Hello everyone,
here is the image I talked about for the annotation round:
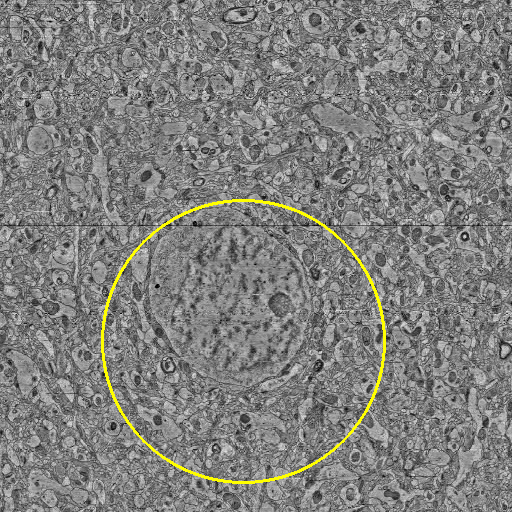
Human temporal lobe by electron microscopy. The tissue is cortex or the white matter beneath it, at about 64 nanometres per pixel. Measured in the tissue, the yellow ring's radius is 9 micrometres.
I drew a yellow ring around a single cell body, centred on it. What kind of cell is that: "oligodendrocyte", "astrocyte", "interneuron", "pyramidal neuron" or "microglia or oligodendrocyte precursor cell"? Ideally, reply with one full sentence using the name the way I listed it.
The cell your yellow ring is centred on is an interneuron, going by your list.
